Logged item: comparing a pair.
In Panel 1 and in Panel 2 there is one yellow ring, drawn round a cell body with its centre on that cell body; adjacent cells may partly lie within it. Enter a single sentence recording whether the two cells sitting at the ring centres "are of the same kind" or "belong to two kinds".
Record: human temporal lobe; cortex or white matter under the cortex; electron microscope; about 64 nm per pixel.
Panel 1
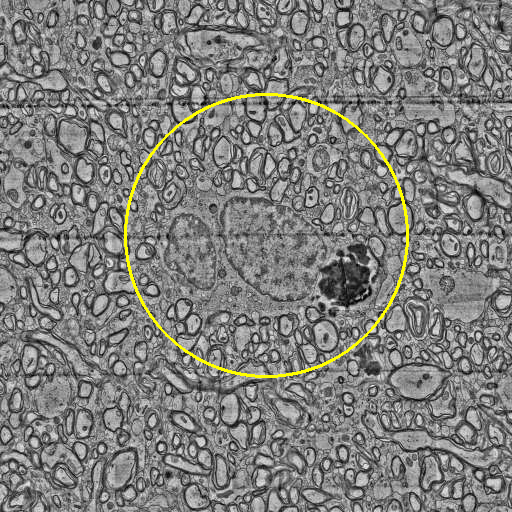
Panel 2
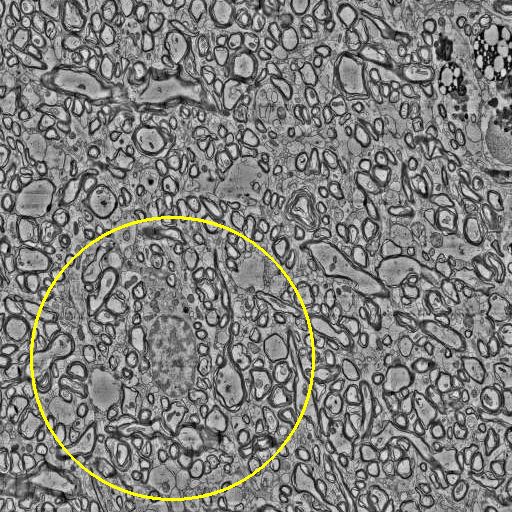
Logged: the cells centred in the rings of Panel 1 and Panel 2 are of the same kind.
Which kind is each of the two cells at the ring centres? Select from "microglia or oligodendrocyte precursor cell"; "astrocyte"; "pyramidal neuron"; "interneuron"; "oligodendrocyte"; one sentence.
The cell in the first picture is an oligodendrocyte, and so is the one in the second.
